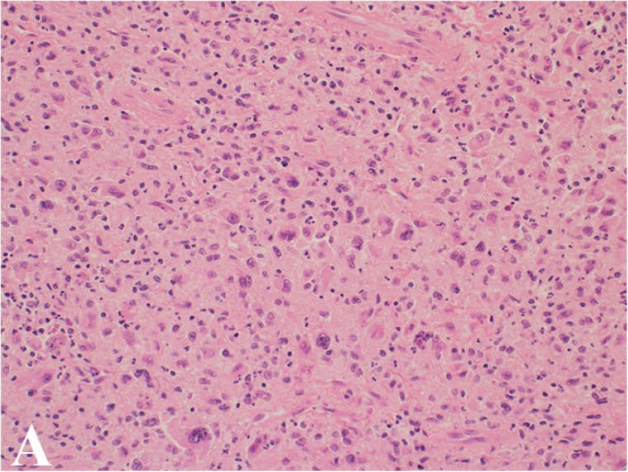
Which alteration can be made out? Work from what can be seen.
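Cells lie in diffuse sheets without glands or nests. Many cells are polygonal with ample pink cytoplasm. Nuclei vary in size, some cells are large and multinucleated.
Hence: Sheets of polygonal cells with abundant eosinophilic cytoplasm.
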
